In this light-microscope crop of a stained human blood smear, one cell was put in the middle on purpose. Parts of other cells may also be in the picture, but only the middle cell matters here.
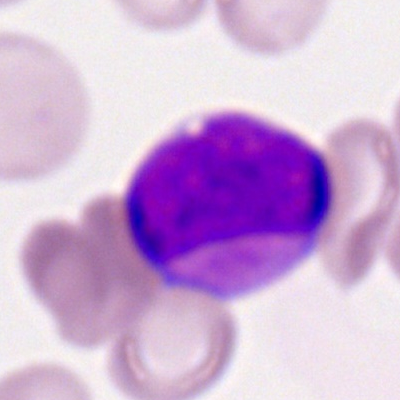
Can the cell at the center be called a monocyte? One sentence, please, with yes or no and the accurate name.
No, the central cell isn't a monocyte, but a blast.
